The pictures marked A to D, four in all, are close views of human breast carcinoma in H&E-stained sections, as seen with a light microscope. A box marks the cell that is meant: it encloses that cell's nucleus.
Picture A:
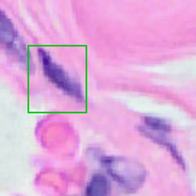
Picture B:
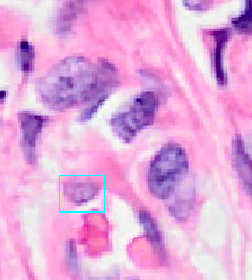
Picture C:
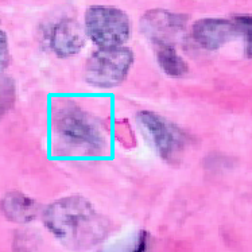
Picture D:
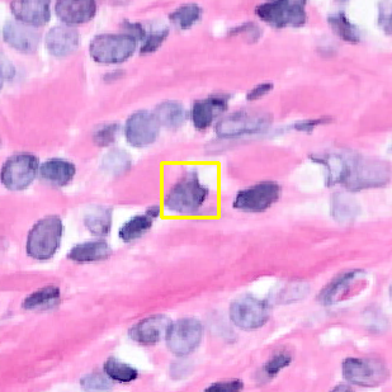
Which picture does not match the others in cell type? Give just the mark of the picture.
D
